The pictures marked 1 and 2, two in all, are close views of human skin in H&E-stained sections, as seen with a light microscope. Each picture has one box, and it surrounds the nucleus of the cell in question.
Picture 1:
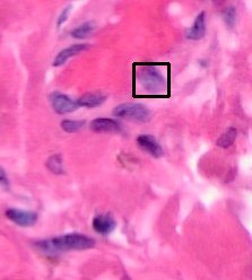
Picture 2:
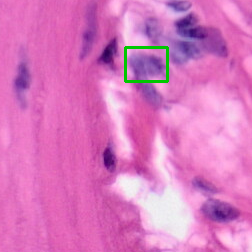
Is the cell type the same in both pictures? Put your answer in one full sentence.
Yes, they are the same type: both are endothelial cells.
